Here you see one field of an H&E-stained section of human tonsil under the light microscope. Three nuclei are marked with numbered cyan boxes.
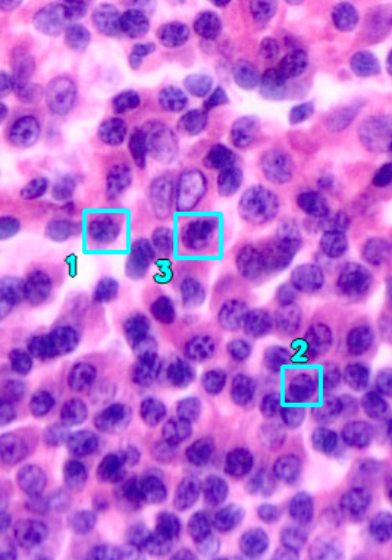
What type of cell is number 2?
small lymphocyte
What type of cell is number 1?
plasma cell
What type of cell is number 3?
plasma cell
